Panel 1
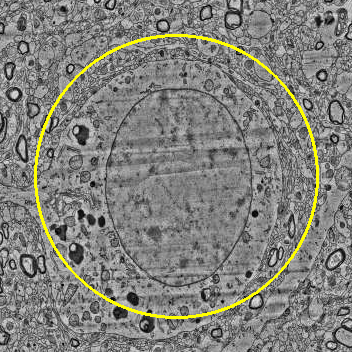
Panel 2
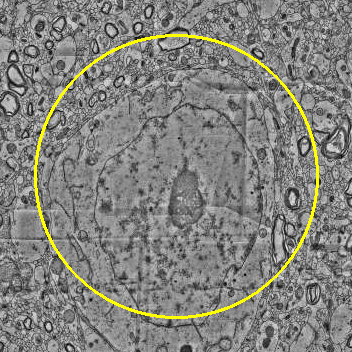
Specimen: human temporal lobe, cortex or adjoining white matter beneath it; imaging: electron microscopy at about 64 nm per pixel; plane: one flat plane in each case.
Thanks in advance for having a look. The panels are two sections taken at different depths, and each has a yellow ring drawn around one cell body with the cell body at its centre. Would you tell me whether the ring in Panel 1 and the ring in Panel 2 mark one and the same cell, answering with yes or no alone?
no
